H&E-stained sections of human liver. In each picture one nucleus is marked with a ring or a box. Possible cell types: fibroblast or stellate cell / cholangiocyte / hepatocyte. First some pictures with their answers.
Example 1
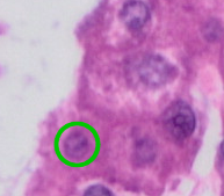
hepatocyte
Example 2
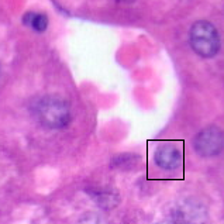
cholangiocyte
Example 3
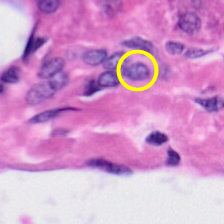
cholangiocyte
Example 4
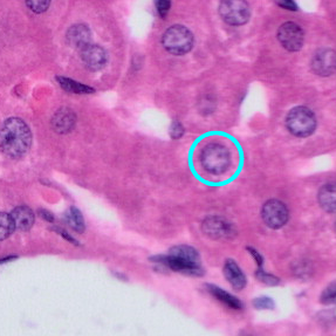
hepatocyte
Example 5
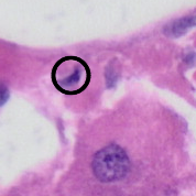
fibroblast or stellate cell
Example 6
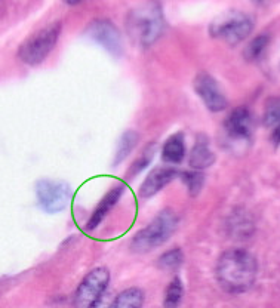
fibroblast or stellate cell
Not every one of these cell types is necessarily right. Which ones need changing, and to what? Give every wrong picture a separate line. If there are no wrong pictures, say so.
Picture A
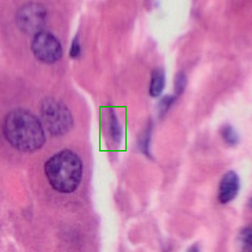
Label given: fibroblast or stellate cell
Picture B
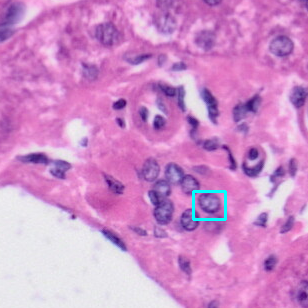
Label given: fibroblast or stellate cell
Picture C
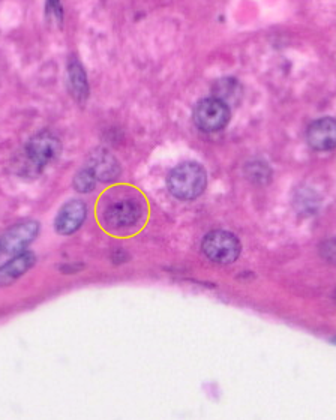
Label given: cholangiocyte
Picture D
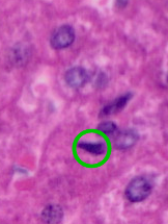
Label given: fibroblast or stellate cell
B: not fibroblast or stellate cell but cholangiocyte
